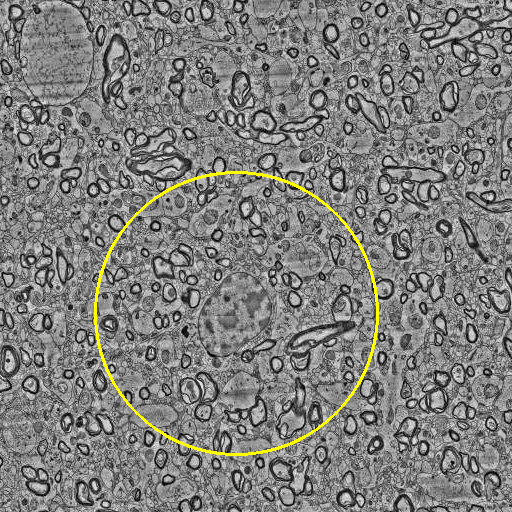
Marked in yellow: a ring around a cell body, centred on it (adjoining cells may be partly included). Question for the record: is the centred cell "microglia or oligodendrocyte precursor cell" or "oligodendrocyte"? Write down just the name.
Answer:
microglia or oligodendrocyte precursor cell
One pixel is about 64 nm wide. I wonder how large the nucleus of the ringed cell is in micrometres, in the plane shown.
Roughly 6 micrometres by 4 micrometres, in this plane.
